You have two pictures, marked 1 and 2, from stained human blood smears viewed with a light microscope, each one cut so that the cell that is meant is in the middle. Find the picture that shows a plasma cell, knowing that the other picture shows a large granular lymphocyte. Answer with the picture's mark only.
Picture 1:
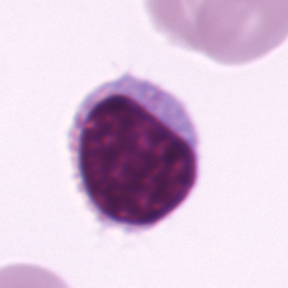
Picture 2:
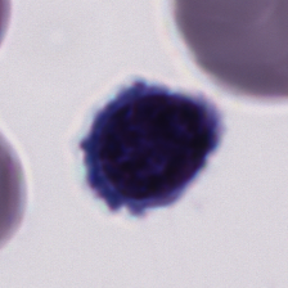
2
